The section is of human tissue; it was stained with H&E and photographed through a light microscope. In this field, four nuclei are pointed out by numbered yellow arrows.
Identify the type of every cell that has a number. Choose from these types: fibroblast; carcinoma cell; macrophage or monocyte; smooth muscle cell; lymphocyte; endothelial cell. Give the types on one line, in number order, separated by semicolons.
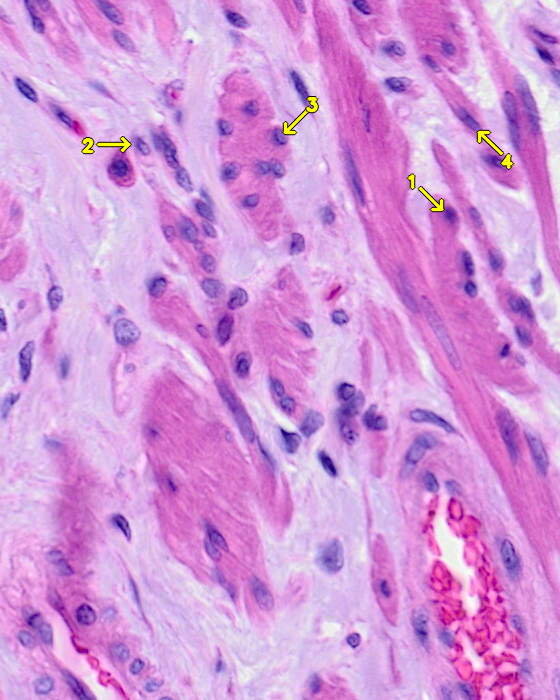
smooth muscle cell; endothelial cell; smooth muscle cell; smooth muscle cell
